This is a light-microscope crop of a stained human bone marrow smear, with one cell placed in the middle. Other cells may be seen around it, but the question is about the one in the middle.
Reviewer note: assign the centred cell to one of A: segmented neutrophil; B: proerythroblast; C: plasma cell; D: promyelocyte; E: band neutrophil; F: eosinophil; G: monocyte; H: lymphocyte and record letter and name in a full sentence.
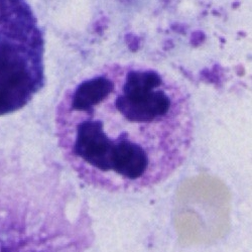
That middle cell is a segmented neutrophil, and option A is therefore correct.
